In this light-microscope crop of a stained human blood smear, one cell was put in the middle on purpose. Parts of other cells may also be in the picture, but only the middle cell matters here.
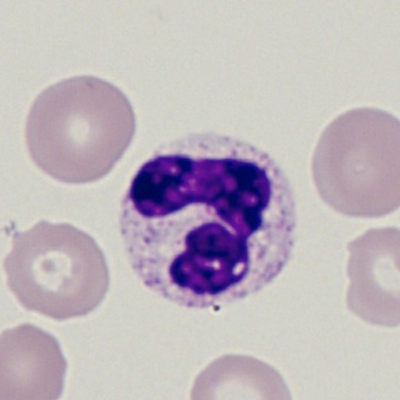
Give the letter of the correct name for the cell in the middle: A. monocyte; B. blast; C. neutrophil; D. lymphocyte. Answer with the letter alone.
C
